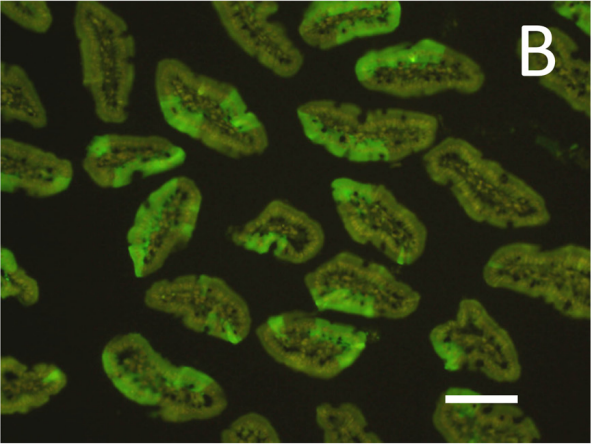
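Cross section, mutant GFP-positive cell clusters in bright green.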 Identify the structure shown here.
intestinal villi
